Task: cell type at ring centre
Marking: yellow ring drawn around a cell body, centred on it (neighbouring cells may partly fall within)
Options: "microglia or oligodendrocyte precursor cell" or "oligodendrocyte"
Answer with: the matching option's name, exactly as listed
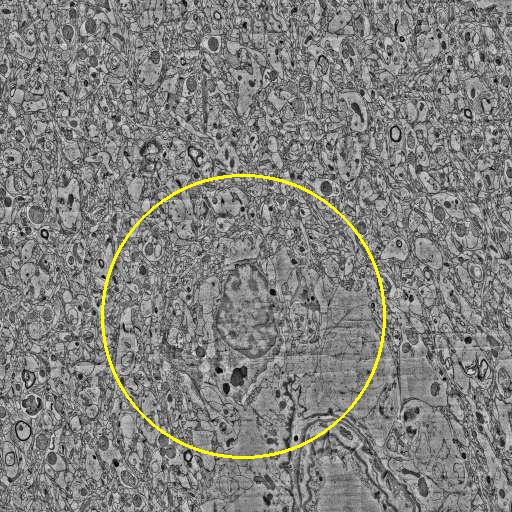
oligodendrocyte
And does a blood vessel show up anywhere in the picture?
Yes, a vessel shows somewhere in the image.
